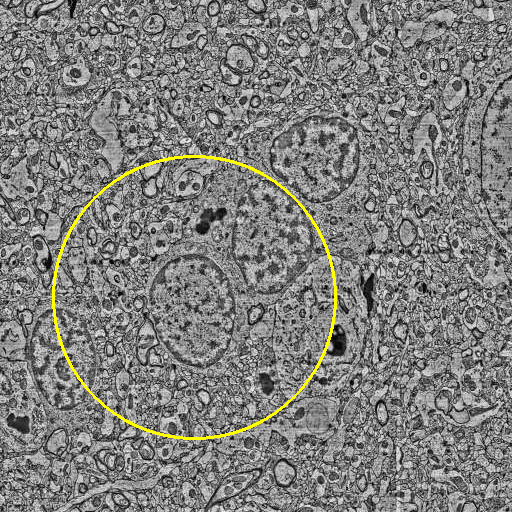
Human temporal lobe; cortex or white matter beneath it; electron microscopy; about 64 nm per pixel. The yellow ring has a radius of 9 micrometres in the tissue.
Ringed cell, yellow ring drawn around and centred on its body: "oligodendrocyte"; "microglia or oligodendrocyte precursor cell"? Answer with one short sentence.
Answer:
This ringed cell is an oligodendrocyte.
